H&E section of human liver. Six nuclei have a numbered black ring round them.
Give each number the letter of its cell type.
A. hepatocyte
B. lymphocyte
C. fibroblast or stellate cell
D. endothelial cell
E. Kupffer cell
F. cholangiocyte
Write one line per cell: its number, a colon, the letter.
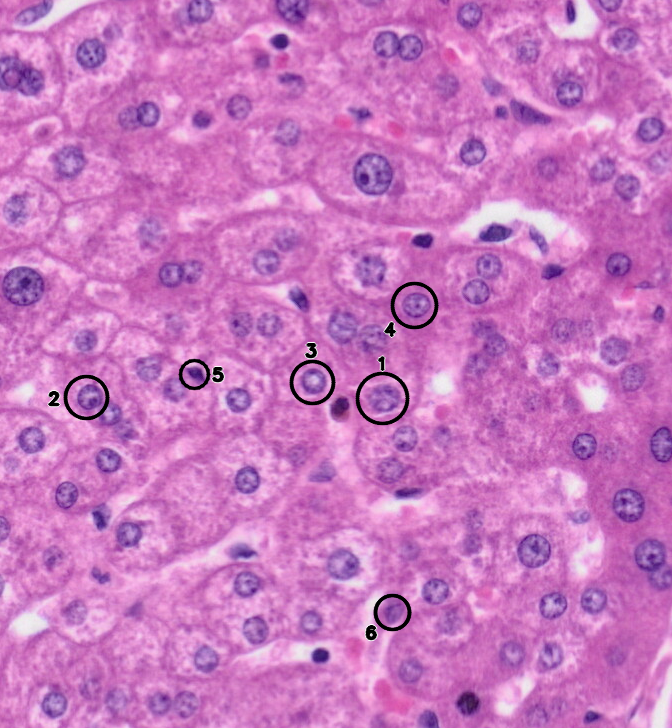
1: A
2: A
3: A
4: A
5: C
6: E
